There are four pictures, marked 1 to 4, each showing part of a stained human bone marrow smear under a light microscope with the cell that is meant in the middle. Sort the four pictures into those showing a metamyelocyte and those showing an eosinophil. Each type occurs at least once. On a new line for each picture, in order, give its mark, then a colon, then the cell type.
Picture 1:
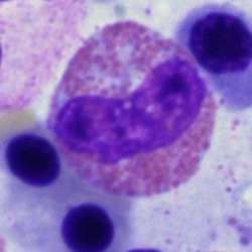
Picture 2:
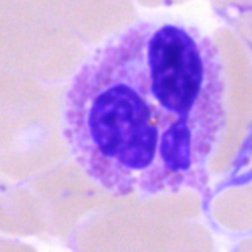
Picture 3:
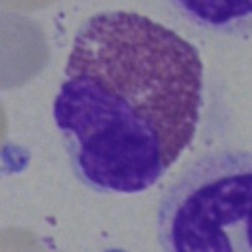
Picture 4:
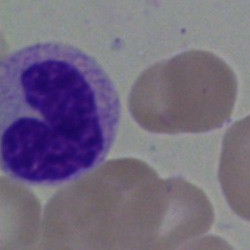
1: eosinophil
2: eosinophil
3: eosinophil
4: metamyelocyte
